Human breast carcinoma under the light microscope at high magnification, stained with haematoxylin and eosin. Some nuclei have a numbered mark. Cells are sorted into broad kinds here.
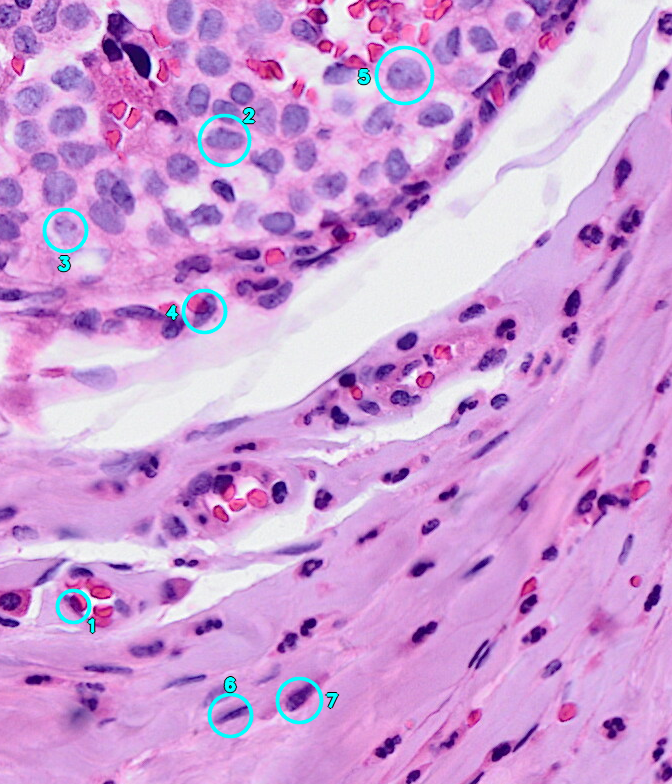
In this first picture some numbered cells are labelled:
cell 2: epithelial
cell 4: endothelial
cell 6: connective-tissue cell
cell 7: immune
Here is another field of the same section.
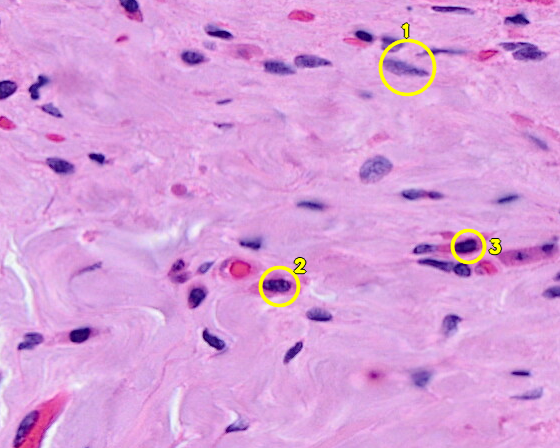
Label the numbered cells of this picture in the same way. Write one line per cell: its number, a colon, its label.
1: connective-tissue cell
2: immune
3: immune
